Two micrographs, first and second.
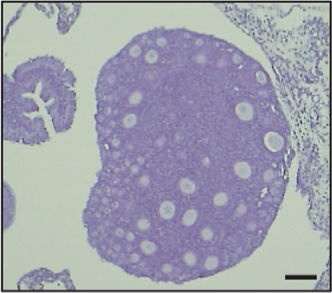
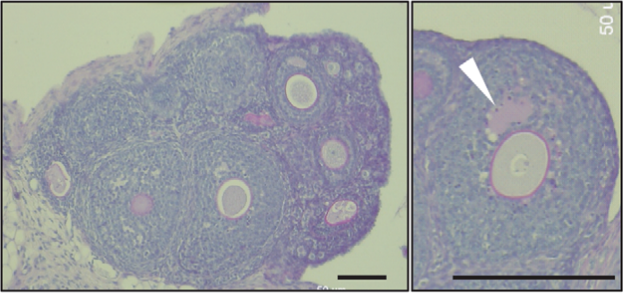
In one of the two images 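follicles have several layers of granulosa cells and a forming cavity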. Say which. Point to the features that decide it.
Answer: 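Second image: large follicles with thick multilayered rims around oocytes, one with a small pale cavity. First image: many small oocytes with thin rims of cells, no cavities in the follicles. So: the second image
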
